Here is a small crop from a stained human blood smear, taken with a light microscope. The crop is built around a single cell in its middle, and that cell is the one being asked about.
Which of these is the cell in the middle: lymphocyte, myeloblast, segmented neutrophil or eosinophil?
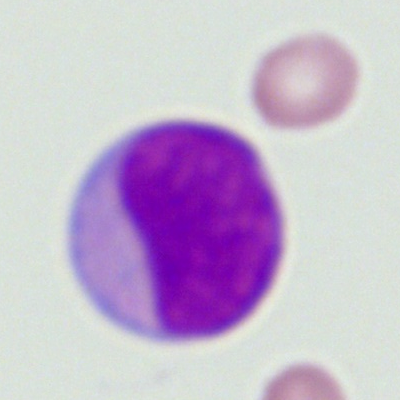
myeloblast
